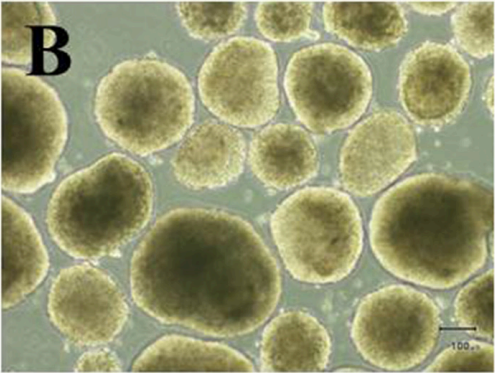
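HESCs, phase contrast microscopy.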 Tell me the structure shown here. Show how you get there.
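Many free-floating round to oval multicellular aggregates of varying size. Aggregates have smooth outlines and are darker in the centre. No attachment or outgrowth onto a surface.
Embryoid bodies.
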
